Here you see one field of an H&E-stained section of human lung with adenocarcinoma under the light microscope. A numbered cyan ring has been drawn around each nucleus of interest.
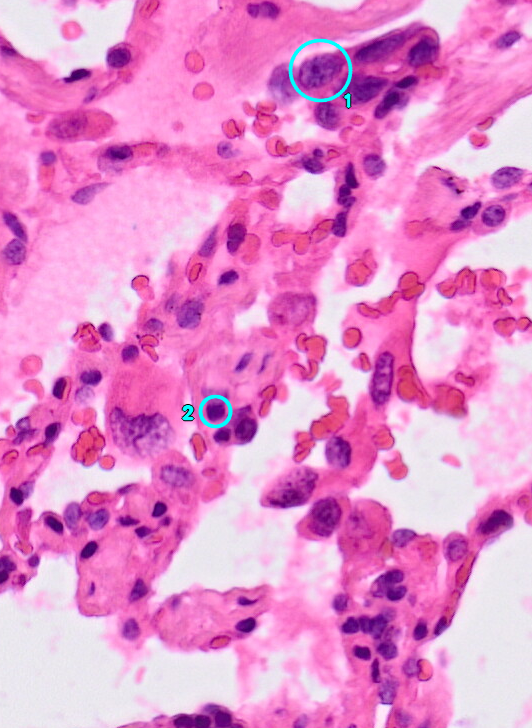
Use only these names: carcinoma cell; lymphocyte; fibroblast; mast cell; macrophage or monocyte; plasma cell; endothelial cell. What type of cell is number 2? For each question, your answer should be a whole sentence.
Cell 2 should be recorded as a lymphocyte.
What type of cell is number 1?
The cell that bears the number 1 is a carcinoma cell.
